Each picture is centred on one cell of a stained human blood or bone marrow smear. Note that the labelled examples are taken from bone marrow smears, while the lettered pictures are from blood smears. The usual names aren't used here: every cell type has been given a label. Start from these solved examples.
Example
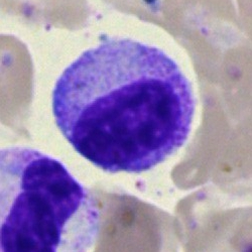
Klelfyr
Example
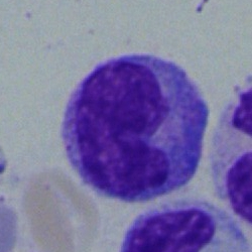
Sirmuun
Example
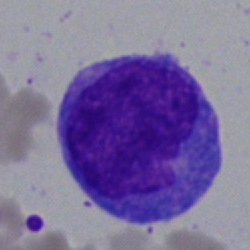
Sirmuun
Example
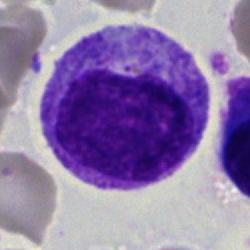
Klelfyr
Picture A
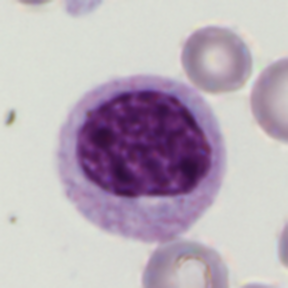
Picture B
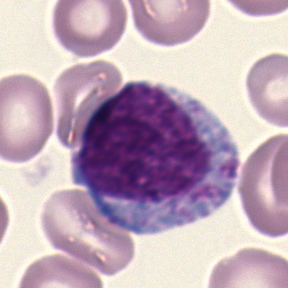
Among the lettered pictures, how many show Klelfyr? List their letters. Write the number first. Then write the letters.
2: A, B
